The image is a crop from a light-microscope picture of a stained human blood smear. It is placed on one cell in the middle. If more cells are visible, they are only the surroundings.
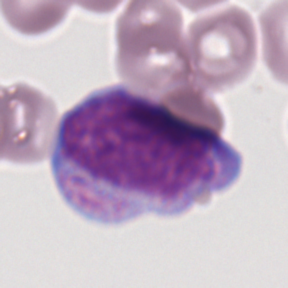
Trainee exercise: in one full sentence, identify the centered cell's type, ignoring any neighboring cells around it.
This crop is built around an atypical promyelocyte at its centre.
